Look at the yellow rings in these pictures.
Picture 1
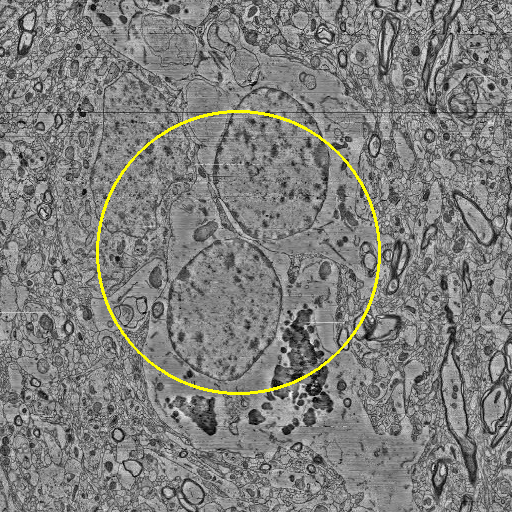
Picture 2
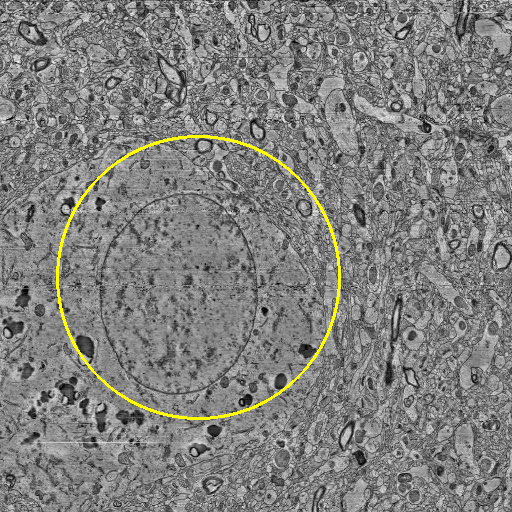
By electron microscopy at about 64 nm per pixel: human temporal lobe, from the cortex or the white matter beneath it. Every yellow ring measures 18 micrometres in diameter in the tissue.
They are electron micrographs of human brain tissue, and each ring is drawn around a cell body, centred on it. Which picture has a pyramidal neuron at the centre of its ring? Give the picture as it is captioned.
Picture 2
